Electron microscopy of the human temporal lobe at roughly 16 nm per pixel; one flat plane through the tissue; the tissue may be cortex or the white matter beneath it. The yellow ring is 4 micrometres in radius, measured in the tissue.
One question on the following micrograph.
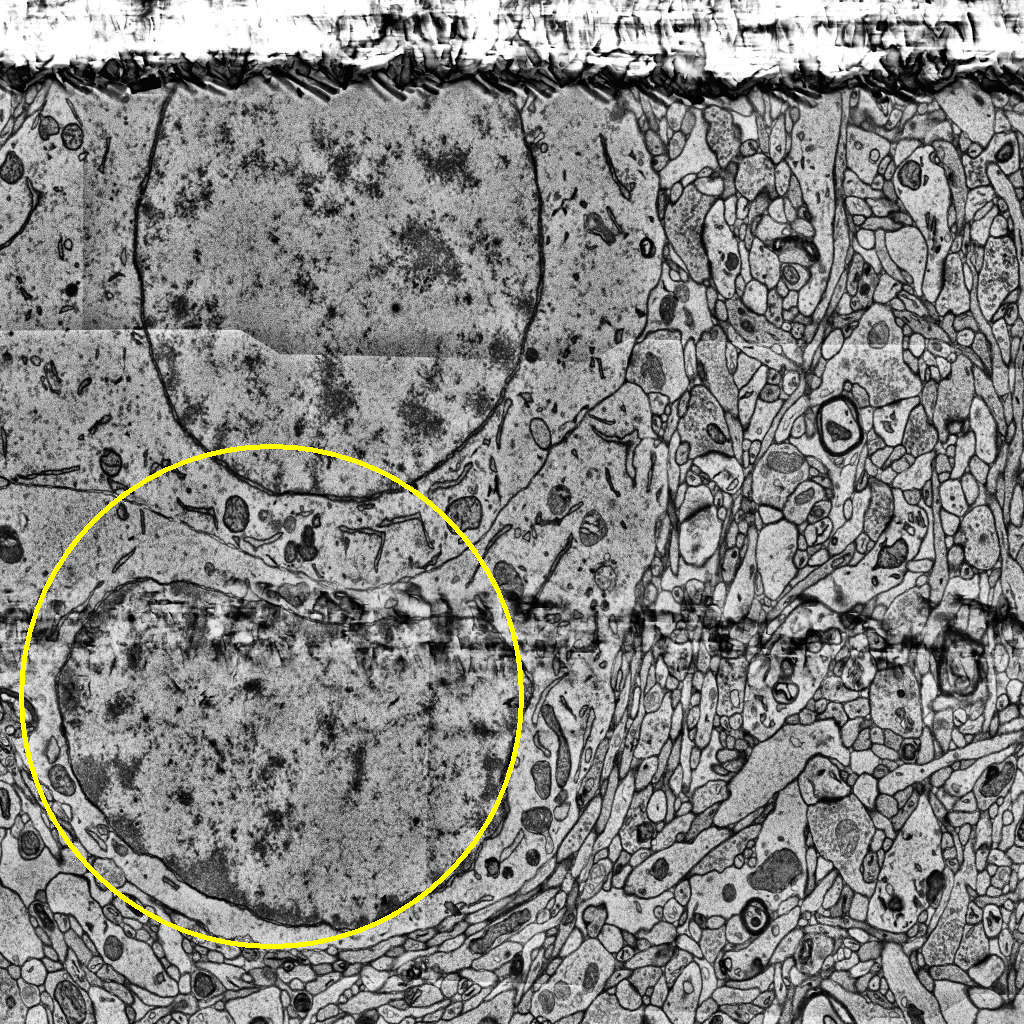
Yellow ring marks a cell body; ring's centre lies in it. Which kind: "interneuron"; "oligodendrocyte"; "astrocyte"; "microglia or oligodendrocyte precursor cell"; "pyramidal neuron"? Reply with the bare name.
microglia or oligodendrocyte precursor cell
